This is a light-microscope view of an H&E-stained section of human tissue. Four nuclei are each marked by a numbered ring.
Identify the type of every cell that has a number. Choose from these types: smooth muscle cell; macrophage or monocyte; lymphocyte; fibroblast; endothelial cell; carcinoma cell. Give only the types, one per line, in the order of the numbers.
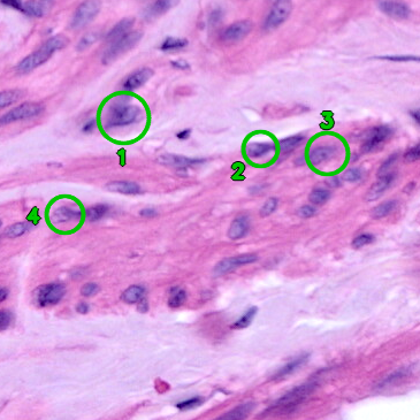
endothelial cell
smooth muscle cell
smooth muscle cell
smooth muscle cell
